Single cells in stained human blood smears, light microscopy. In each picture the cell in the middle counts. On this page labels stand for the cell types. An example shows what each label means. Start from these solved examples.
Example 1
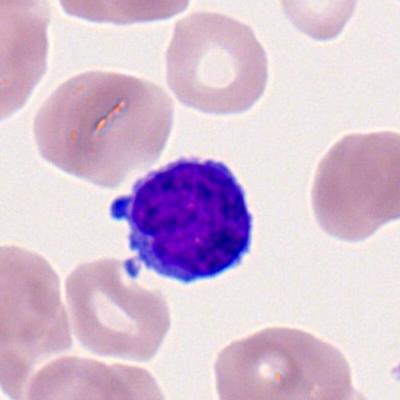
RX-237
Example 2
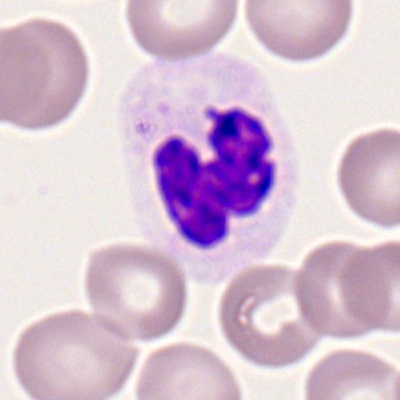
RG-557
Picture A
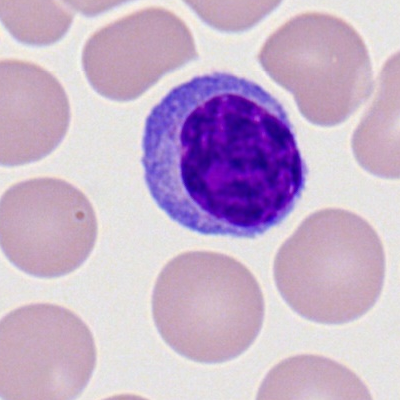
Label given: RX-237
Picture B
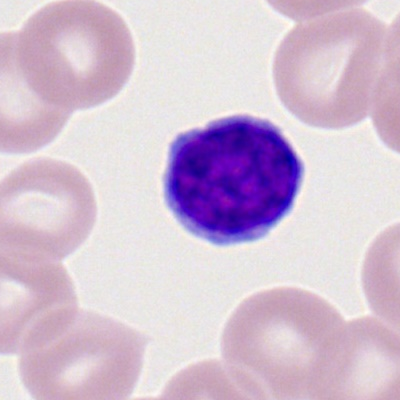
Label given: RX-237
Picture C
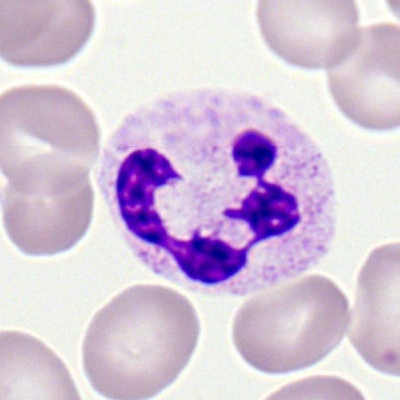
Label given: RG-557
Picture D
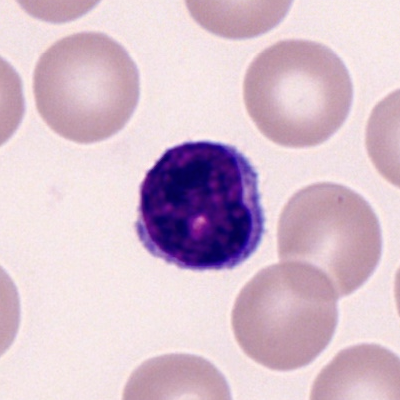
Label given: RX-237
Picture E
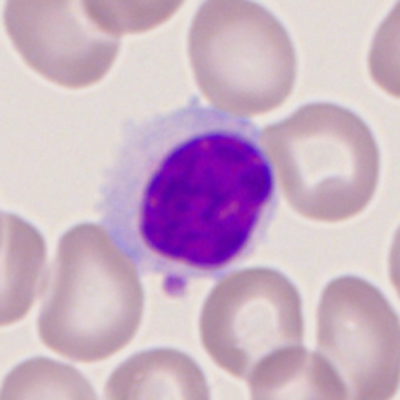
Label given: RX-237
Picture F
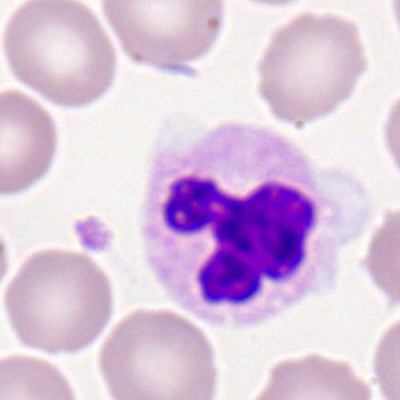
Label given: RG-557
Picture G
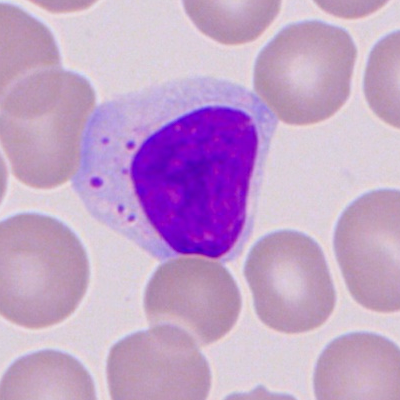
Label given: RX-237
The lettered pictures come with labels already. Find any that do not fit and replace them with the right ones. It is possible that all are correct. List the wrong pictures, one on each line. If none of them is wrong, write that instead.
No label is wrong.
